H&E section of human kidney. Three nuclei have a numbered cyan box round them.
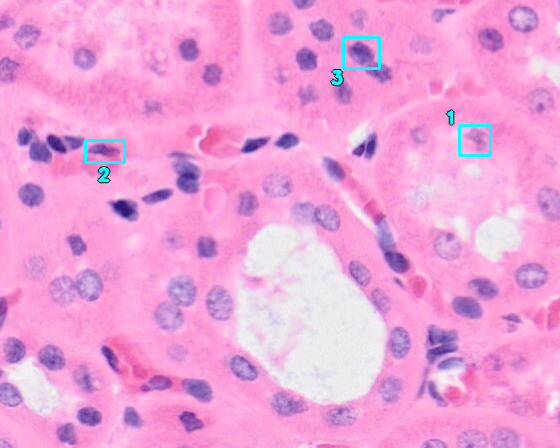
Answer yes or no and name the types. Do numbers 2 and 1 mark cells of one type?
No, unlike cell 2, which is an endothelial cell, cell 1 is a proximal tubule cell.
